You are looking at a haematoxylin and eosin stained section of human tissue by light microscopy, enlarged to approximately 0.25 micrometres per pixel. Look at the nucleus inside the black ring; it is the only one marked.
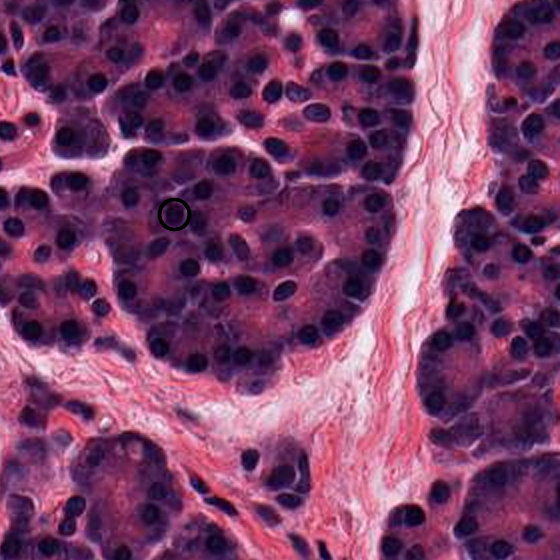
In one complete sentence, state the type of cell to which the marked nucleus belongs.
As shown here, the nucleus that is marked is that of a pancreatic acinar cell.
